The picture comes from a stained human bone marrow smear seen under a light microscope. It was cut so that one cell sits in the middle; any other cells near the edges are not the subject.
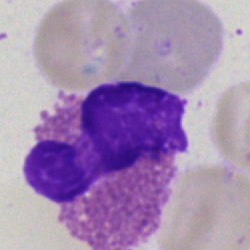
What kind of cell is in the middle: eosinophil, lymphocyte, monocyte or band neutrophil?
eosinophil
